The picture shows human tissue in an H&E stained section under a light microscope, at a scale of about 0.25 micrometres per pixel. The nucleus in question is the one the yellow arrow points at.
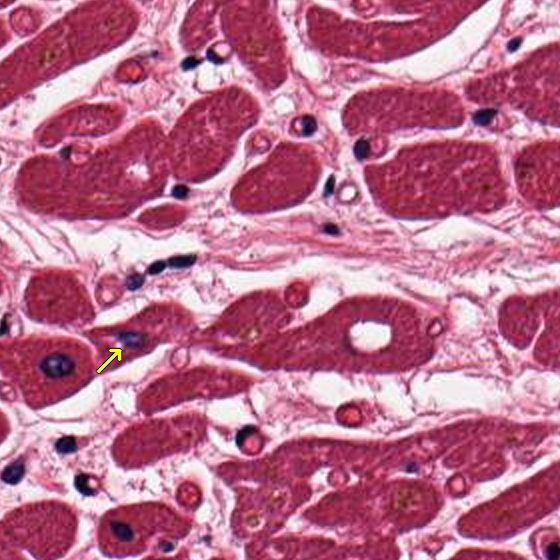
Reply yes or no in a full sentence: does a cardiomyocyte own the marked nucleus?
Yes, the nucleus that is marked belongs to a cardiomyocyte.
